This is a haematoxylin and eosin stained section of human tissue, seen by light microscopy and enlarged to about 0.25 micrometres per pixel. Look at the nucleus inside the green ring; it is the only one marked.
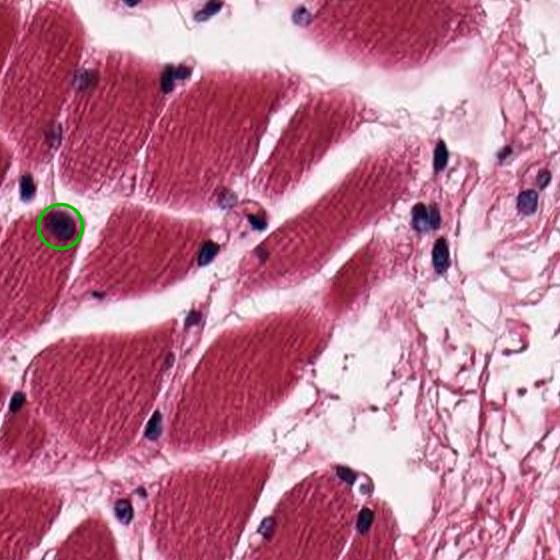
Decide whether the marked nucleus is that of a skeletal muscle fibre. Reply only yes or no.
yes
